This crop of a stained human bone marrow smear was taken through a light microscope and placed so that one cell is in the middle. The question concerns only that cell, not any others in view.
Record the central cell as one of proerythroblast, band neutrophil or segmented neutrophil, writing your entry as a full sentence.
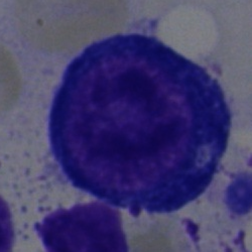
Regarding the central cell, it is a proerythroblast.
